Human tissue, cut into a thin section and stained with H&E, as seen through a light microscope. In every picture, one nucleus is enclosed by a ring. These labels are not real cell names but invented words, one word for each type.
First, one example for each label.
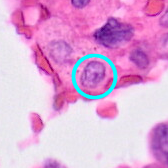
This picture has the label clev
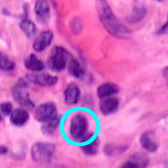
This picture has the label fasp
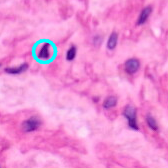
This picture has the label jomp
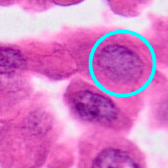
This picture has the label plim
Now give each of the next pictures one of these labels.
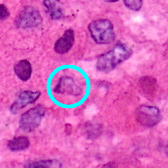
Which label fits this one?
clev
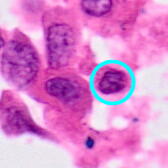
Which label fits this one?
clev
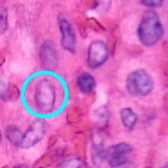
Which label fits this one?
clev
